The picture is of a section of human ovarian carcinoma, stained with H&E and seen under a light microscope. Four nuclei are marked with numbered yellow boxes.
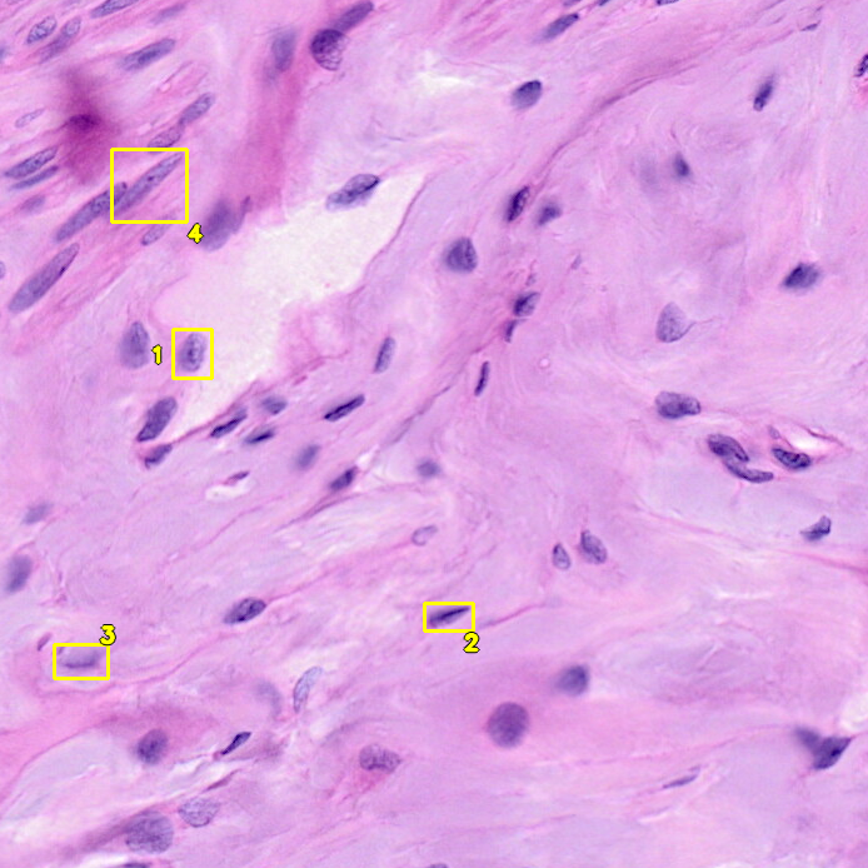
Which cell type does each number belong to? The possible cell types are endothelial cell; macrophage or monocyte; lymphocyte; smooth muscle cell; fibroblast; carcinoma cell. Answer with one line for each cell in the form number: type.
1: endothelial cell
2: fibroblast
3: fibroblast
4: smooth muscle cell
